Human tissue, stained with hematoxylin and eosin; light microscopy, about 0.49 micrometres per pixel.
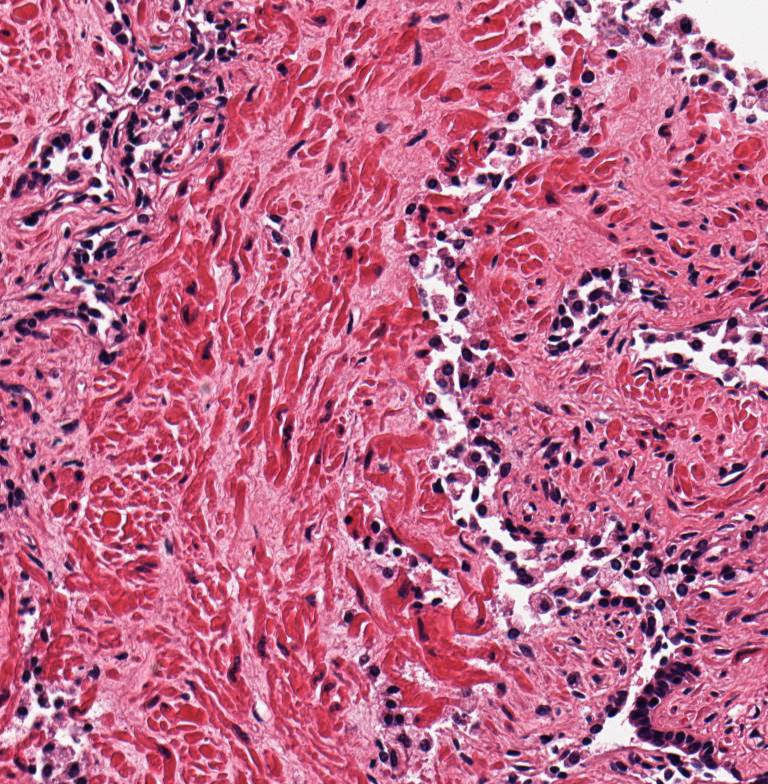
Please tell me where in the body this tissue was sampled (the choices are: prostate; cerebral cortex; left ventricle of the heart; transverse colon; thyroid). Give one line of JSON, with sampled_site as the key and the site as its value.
{"sampled_site": "prostate"}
